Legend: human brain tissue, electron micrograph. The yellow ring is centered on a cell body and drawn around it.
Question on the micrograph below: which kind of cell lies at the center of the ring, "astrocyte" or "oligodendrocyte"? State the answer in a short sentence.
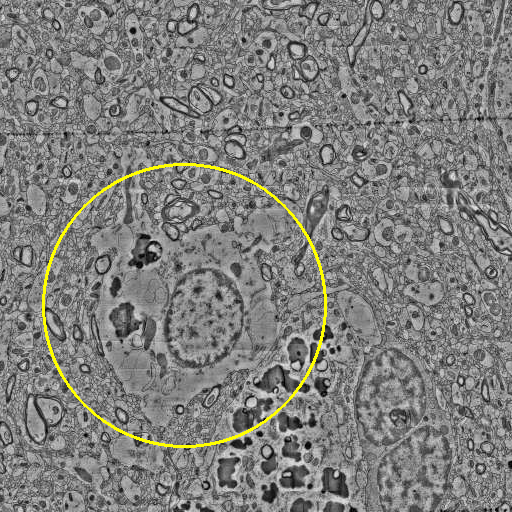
At the center of the ring lies an astrocyte.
